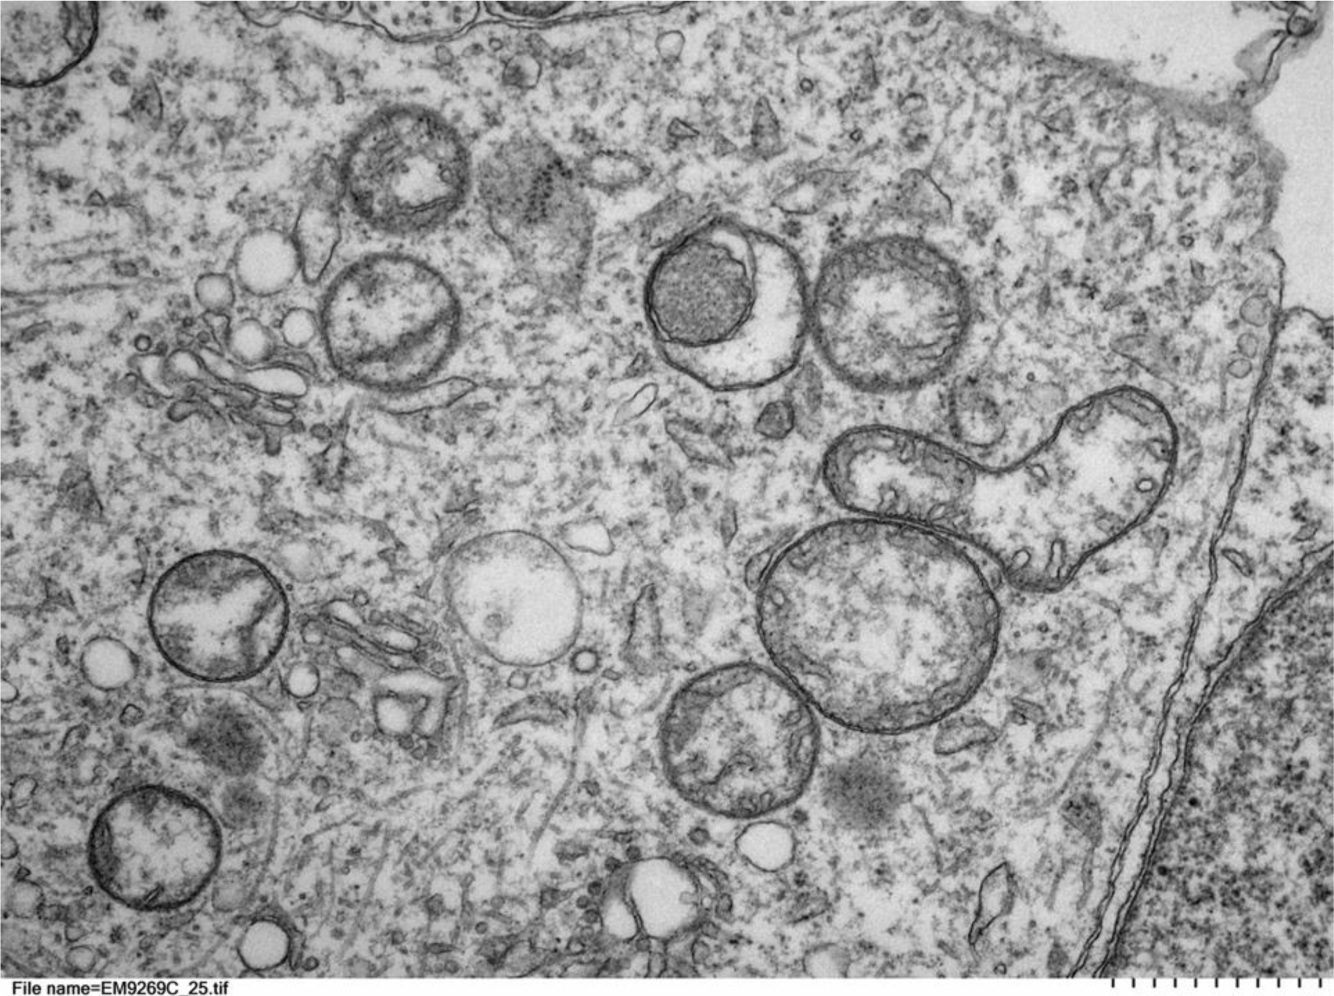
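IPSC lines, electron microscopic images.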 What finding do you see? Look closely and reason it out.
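Mitochondria are rounded rather than elongated. Their matrix is pale with few, short or disorganized cristae. Some are enlarged and irregular in outline. That points to this answer: mitochondria with pathological changes.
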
